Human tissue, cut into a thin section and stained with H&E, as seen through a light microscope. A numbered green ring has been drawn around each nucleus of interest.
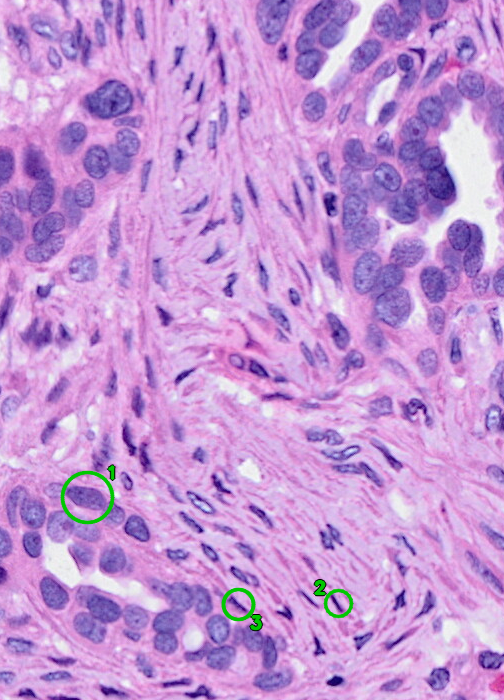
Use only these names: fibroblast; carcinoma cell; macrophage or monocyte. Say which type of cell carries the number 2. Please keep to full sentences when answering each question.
The nucleus with number 2 is that of a fibroblast.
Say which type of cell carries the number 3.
The cell tagged with 3 in this tissue section is a fibroblast.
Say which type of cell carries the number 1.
In this section, number 1 marks a carcinoma cell.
